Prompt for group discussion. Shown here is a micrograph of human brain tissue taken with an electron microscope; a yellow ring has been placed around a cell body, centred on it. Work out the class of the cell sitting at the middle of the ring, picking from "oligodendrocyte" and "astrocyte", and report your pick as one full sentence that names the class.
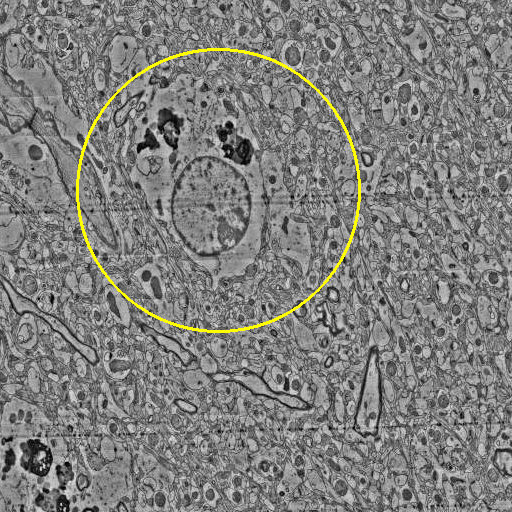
The cell sitting at the middle of the yellow ring is an astrocyte.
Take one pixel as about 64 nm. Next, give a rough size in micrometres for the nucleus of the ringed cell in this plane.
In this plane the nucleus spans approximately 6 by 5 micrometers.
